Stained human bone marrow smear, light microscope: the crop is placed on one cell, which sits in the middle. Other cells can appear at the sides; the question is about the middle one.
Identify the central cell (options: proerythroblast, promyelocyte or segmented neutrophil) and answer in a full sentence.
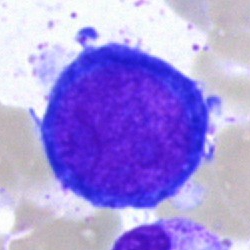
The crop's centre is taken up by a proerythroblast.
